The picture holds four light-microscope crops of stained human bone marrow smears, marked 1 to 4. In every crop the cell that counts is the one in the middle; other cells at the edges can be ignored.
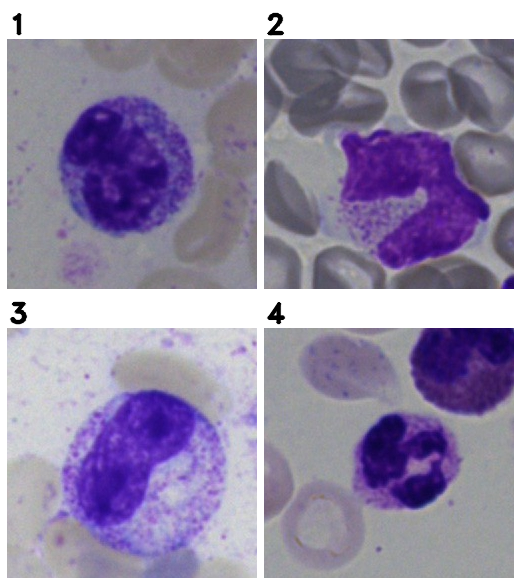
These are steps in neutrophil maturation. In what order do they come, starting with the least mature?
3, 1, 2, 4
